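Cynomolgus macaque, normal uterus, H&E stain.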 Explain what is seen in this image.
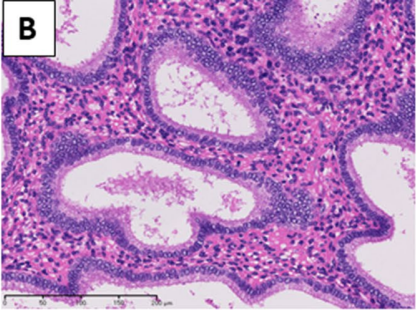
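Endometrium at high power: glands and stroma. Glands are round to irregular, some branched, lined by a single layer of tall columnar epithelium with crowded, basally to centrally placed dark oval nuclei and pale pink cytoplasm. Lumina are open and contain a little faint pink secretion. Between glands lies a cell-dense stroma of small cells with round to oval dark nuclei and scant cytoplasm, with small vessels and red blood cells scattered through it. No necrosis or fibrosis is seen.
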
